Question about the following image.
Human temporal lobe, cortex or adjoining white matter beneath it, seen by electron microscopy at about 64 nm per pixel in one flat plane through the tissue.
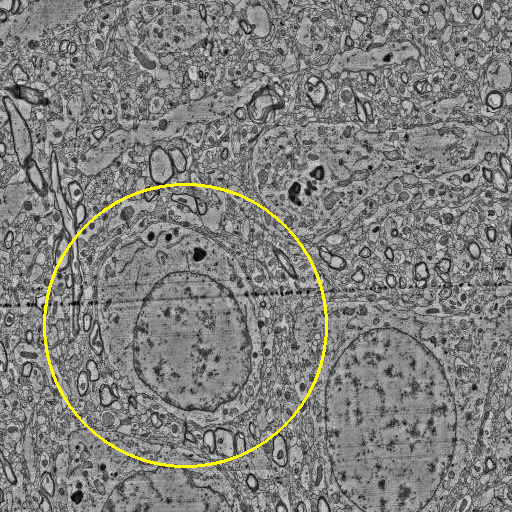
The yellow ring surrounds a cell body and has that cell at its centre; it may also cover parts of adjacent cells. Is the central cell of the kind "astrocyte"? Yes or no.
No, it is of another kind.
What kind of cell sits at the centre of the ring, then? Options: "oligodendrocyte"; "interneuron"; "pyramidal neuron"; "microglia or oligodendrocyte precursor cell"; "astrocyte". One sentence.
Instead, the cell at the centre of the ring is a pyramidal neuron.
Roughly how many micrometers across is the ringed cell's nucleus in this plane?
In this plane, the nucleus of the cell at the centre of the ring measures about 9 by 8 micrometres.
